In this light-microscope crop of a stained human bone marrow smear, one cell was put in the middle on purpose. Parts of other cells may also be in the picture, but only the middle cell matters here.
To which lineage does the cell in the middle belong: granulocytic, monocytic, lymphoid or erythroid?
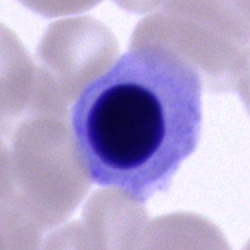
erythroid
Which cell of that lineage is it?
erythroblast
